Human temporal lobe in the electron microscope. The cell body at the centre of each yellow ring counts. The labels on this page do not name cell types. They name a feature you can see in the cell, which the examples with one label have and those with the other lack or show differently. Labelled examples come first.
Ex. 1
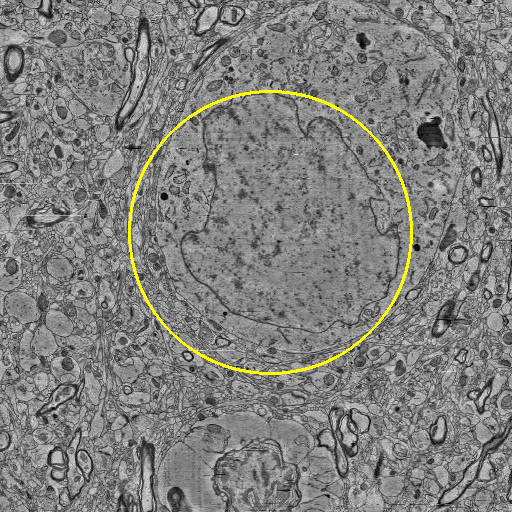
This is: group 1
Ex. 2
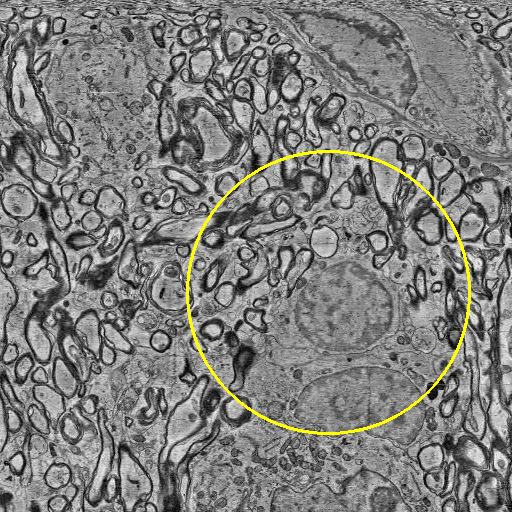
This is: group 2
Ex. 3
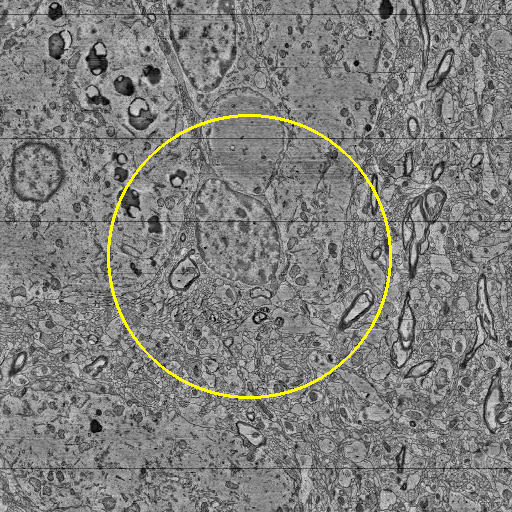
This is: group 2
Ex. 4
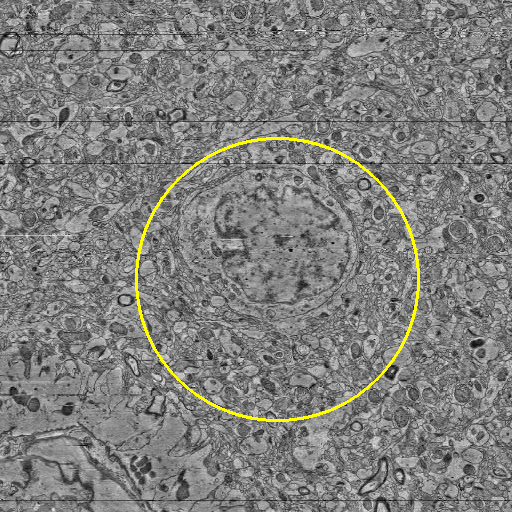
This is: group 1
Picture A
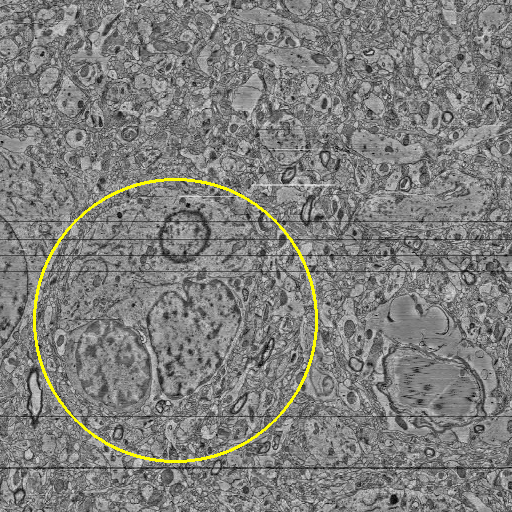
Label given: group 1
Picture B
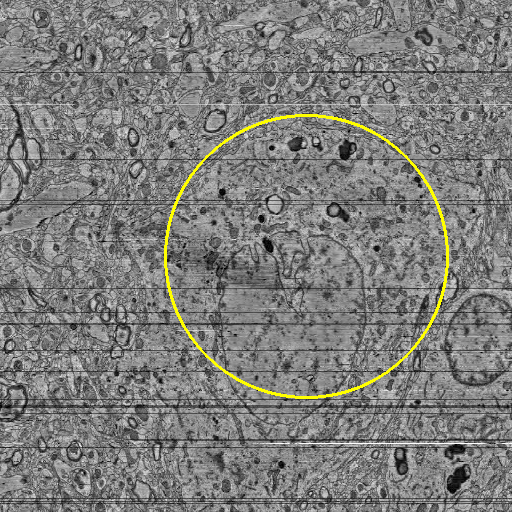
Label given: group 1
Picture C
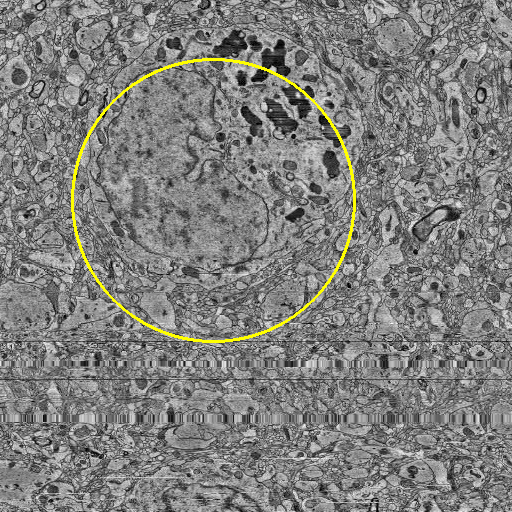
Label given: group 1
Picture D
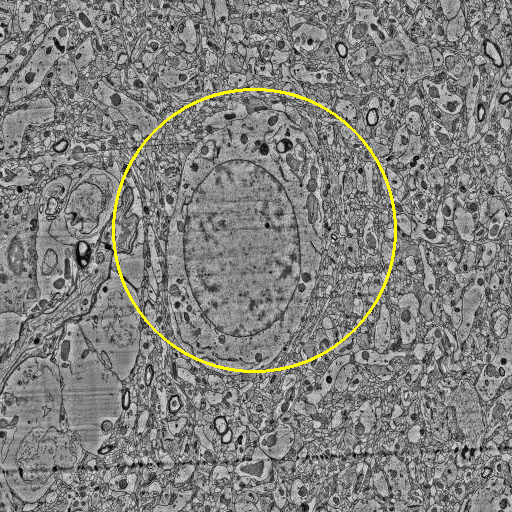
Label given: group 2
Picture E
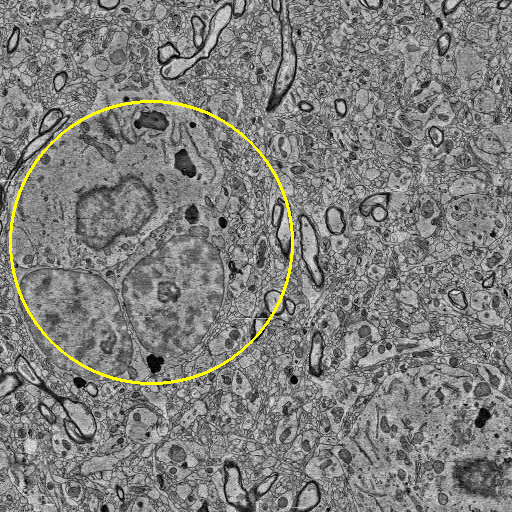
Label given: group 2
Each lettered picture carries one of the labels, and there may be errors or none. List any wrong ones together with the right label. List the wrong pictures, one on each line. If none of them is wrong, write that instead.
Wrong: E (group 2); correct: group 1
